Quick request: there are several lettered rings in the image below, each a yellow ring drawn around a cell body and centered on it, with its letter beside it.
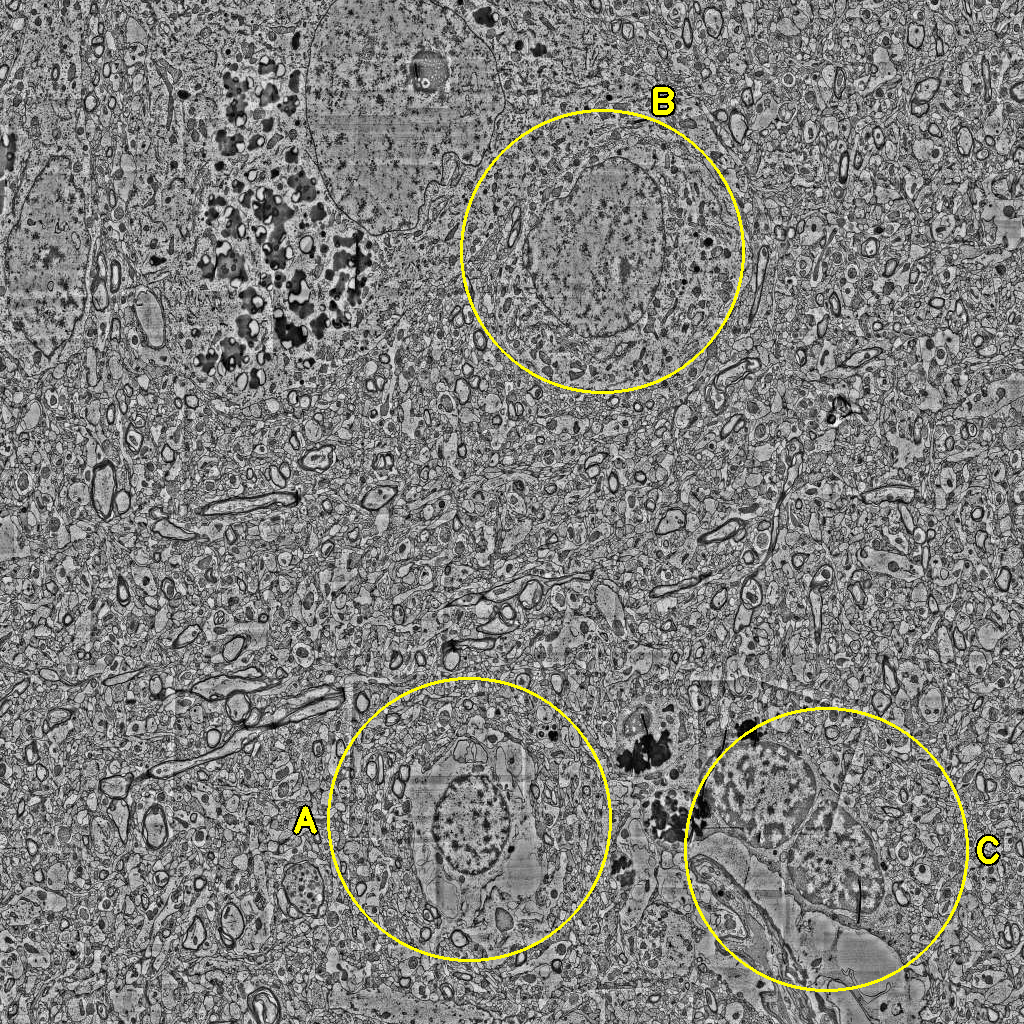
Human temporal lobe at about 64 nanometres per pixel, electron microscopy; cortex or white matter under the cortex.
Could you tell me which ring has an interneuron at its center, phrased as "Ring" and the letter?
Ring B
